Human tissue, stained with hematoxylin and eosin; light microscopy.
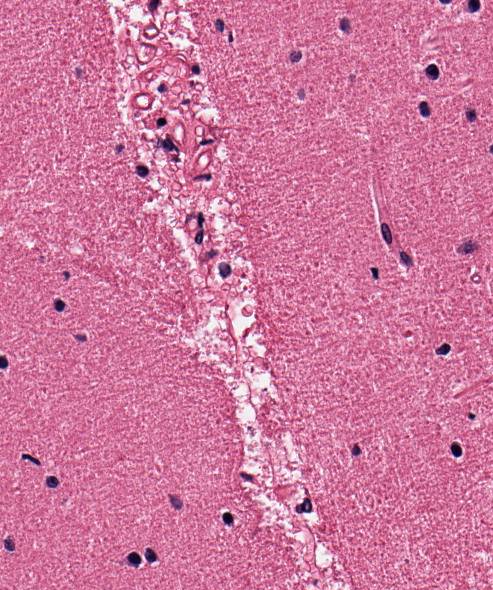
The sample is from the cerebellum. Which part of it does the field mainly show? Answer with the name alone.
molecular layer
